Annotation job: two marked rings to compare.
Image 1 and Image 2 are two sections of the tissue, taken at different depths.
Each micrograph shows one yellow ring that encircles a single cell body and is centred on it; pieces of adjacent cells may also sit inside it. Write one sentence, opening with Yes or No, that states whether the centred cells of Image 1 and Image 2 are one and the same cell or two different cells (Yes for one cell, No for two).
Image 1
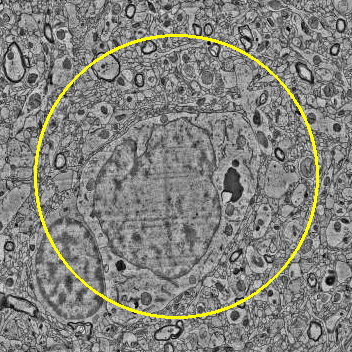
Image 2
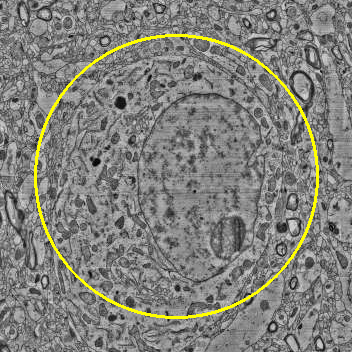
No, the two rings enclose two cells that are not the same.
